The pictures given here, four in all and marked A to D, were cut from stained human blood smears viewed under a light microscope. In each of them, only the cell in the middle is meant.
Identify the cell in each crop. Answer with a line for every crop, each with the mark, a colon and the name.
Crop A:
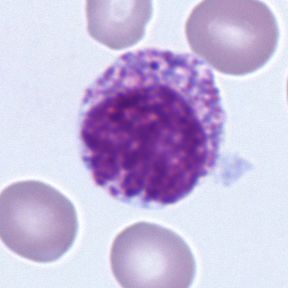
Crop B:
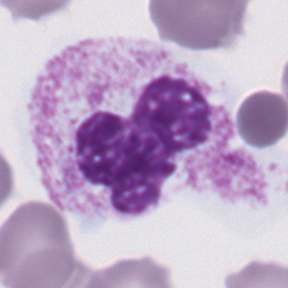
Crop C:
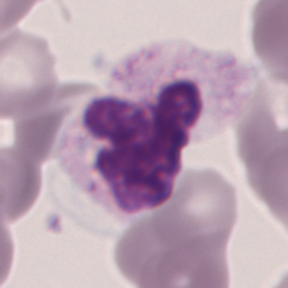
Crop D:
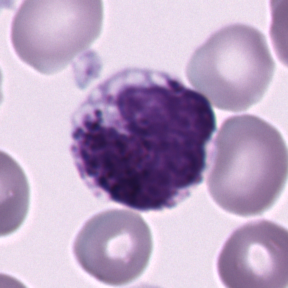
A: basophil
B: segmented neutrophil
C: segmented neutrophil
D: basophil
